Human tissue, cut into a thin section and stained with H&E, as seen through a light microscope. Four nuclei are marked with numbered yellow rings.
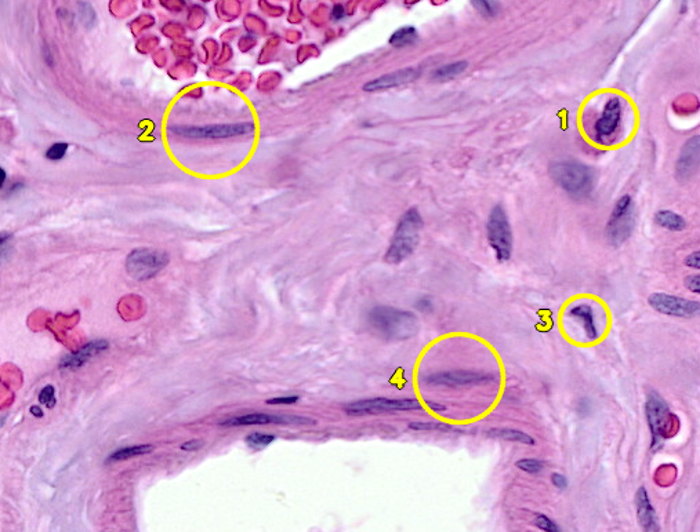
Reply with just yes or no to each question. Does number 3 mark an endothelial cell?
no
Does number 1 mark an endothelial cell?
no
